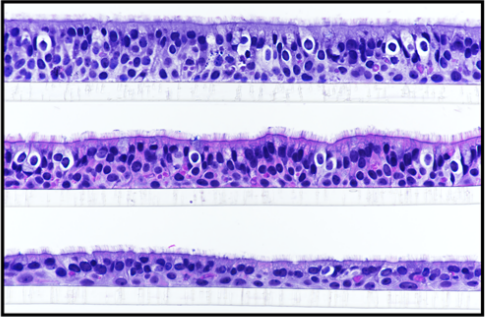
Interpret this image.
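Three strips of cultured airway epithelium, each resting on a thin, pale porous membrane, are stacked one above the other. The epithelium is pseudostratified: dark purple, oval nuclei crowd at several levels, with those near the base smaller and more closely packed. A fine, pale fringe along the upper surface marks the ciliated apical border. Scattered among the surface cells are rounded cells with clear, pale, vacuole-like cytoplasm, set in the upper half of the layer. The cytoplasm is pinkish-violet. The lowest strip is thinner than the upper two, with fewer nuclear tiers and fewer clear rounded cells.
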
